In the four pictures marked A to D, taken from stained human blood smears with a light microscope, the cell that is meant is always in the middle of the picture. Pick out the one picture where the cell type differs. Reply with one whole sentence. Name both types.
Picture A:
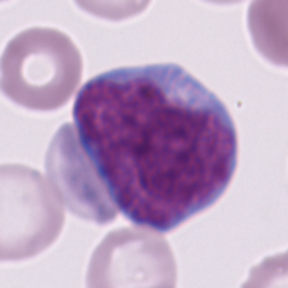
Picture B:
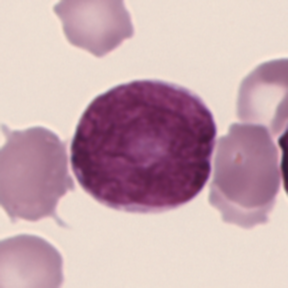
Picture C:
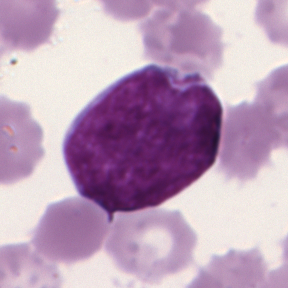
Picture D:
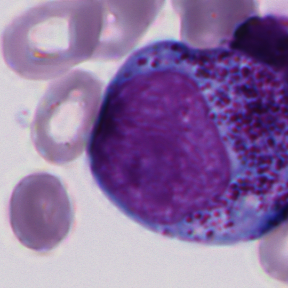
All pictures except D show myeloblasts; picture D shows a promyelocyte.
